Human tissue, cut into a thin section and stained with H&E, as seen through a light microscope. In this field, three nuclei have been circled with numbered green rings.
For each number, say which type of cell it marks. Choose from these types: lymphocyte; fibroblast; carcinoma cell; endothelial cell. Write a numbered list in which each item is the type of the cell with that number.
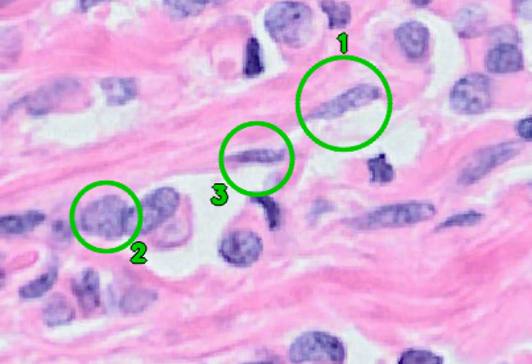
1. fibroblast
2. carcinoma cell
3. fibroblast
